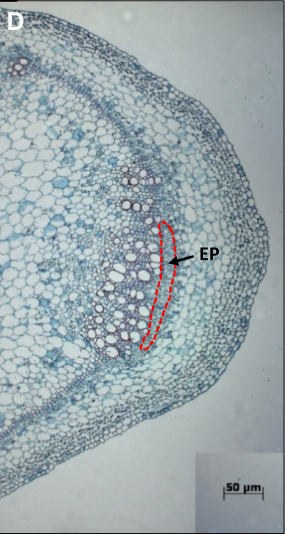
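Part of a stem in cross section shows the vascular ring with external phloem lying outside the xylem. The outer edge is bordered by a row of small epidermal cells, inside which lie several layers of rounded cortical cells. The xylem contains large vessels with reddish-purple walls arranged in radial groups. A narrow band of small, densely packed cells runs along the outer side of the xylem, between it and the cortex. Further inward, larger thin-walled cells make up the central ground tissue.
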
